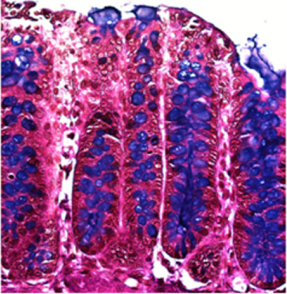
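This section of colonic mucosa shows straight, closely packed tubular crypts running perpendicular to the surface. The crypts are lined by columnar epithelium in which many rounded goblet cells, their cytoplasm filled with blue-staining mucus, are arranged in rows. Between the goblet cells lie narrower epithelial cells with darker nuclei. Thin strands of pink connective tissue separate neighbouring crypts. The surface epithelium at the top carries some blue mucus-laden cells opening toward the lumen.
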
